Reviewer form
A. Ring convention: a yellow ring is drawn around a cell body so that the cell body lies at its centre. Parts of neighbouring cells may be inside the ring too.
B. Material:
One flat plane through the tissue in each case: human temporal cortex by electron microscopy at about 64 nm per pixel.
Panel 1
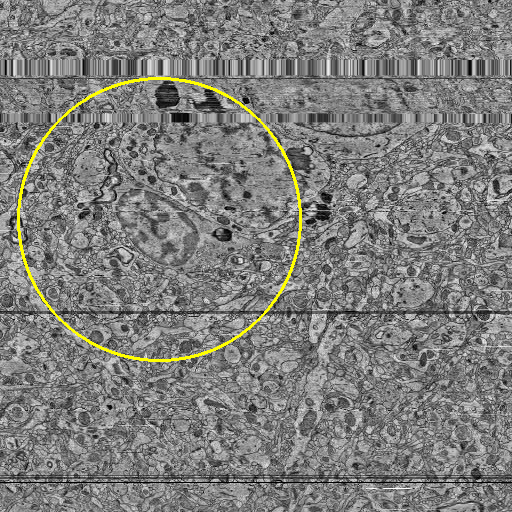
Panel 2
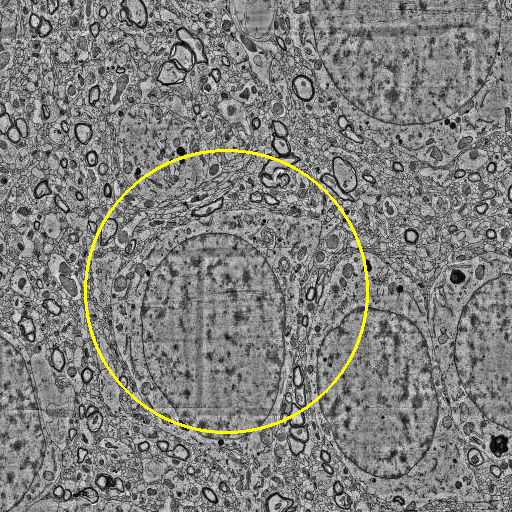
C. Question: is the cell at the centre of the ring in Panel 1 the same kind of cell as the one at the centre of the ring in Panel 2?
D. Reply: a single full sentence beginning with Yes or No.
No, the cells in Panel 1 and Panel 2 are two kinds of cell.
